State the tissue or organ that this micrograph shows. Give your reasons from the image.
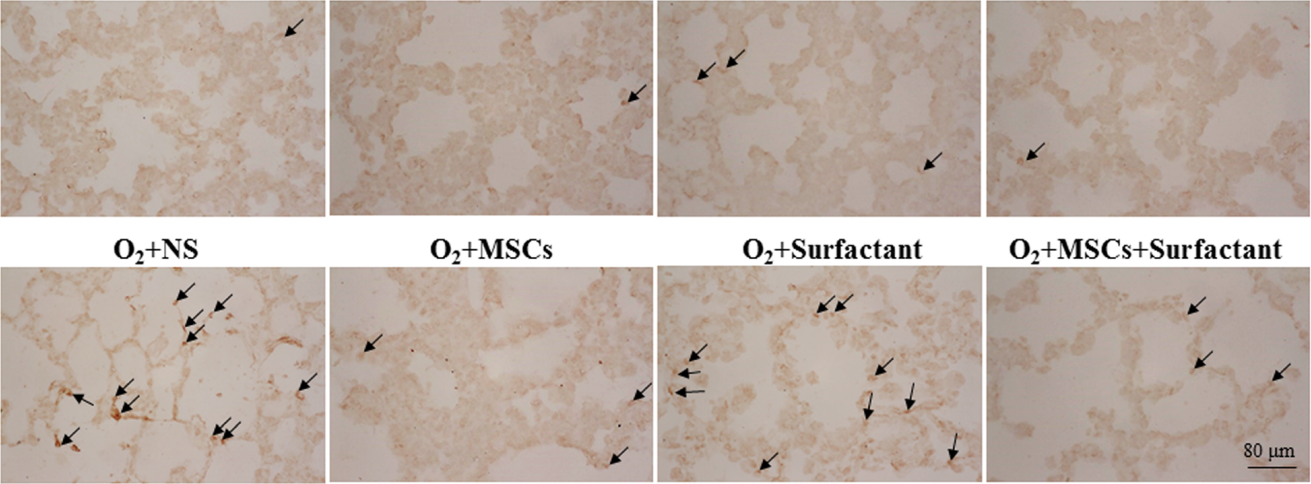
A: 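Lung tissue. Many open, rounded air spaces. Air spaces separated by thin cellular walls. A lacy network of septa throughout each field.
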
